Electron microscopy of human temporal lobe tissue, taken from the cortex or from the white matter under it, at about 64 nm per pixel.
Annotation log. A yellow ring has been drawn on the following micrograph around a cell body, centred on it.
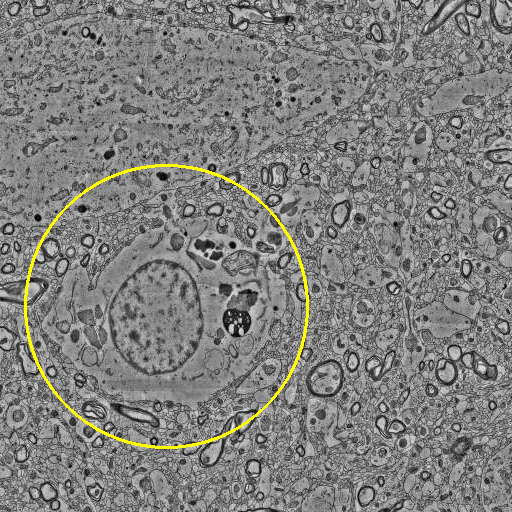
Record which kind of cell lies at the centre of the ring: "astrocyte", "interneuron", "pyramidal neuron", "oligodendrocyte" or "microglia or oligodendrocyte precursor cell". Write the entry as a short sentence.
The cell the ring is centred on is an astrocyte.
